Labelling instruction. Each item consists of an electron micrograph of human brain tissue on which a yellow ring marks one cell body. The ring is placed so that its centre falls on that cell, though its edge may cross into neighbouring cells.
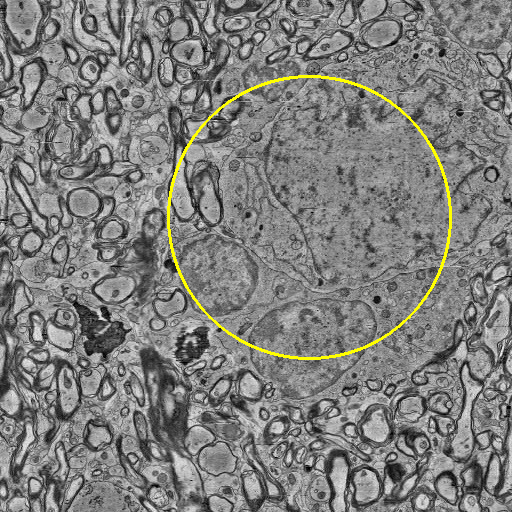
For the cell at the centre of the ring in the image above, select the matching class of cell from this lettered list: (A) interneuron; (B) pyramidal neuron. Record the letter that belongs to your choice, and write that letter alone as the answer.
A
